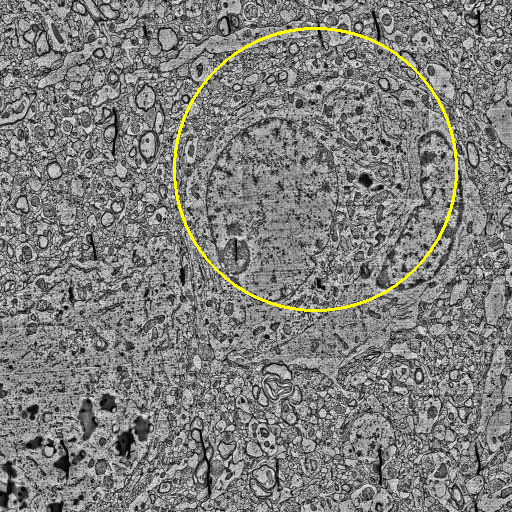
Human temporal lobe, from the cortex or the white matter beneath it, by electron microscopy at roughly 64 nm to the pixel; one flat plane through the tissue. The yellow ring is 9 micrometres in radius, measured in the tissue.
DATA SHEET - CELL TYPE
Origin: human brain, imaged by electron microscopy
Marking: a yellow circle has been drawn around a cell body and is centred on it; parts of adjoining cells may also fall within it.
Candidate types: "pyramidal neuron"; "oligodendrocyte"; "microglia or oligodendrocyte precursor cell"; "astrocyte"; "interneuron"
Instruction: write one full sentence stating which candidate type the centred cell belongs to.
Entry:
The cell body at the centre of the yellow ring in this micrograph belongs to an interneuron.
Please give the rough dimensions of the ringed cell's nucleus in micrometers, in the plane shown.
The nucleus of the ringed cell is approximately 12 by 8 micrometres in this plane.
